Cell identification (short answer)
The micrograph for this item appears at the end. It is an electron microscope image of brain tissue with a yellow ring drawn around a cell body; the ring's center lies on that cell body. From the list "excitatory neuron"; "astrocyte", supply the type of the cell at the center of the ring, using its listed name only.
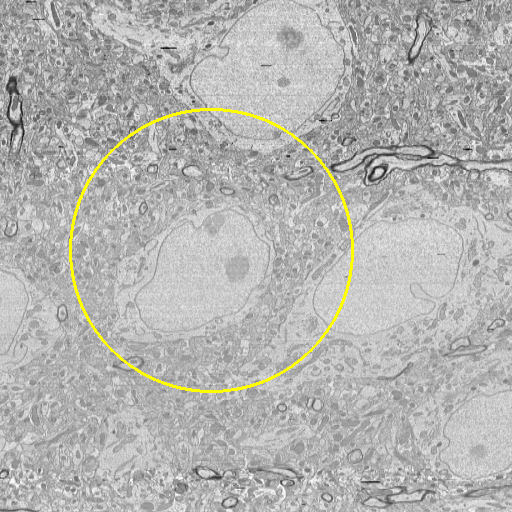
excitatory neuron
